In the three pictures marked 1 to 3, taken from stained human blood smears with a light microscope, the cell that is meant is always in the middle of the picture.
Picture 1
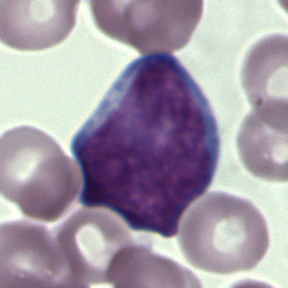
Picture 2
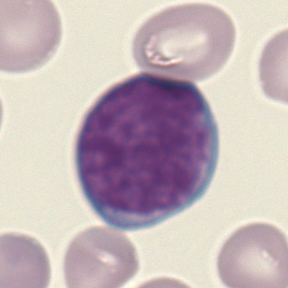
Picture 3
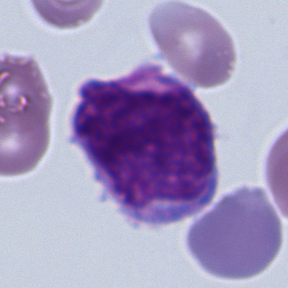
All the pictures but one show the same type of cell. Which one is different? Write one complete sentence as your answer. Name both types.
Picture 3 is the odd one out: it shows an atypical promyelocyte, while the others show myeloblasts.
